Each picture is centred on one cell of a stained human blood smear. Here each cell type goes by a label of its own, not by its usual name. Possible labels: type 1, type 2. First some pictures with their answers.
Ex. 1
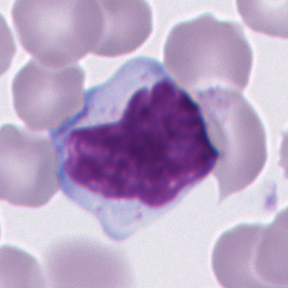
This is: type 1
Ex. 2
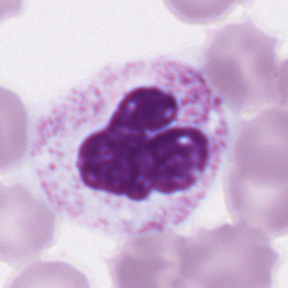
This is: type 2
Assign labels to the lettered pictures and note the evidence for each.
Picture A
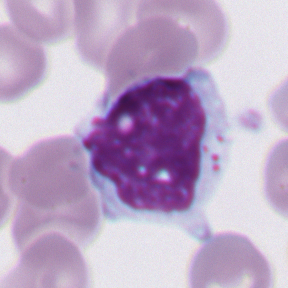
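type 1. Reason: The cytoplasm forms a narrow, pale greyish-blue rim around the nucleus.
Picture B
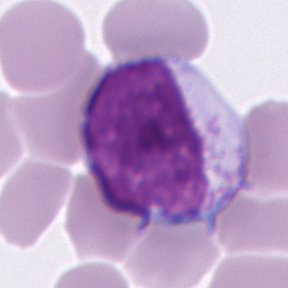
type 1. Reason: The nucleus fills most of the cell and is pushed toward the left side.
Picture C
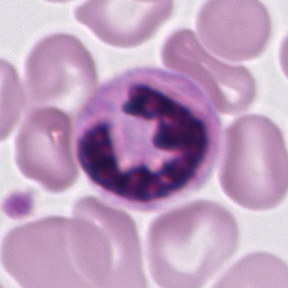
type 2. Reason: The nucleus is a thick curved band whose opening faces the upper left.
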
